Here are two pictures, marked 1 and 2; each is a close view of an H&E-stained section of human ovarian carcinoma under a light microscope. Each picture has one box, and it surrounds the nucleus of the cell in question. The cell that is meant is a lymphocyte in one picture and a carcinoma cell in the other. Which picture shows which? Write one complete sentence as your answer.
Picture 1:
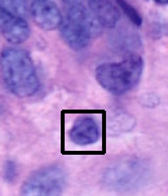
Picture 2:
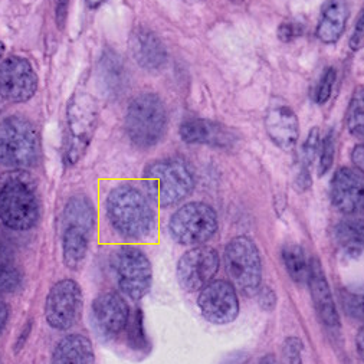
In picture 1 the cell is a lymphocyte; in picture 2, a carcinoma cell.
